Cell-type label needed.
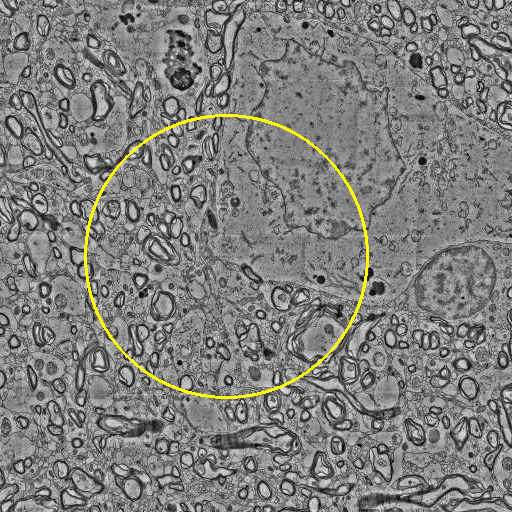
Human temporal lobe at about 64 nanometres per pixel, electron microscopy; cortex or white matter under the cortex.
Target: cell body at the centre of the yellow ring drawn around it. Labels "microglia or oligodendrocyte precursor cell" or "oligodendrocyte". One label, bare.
microglia or oligodendrocyte precursor cell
